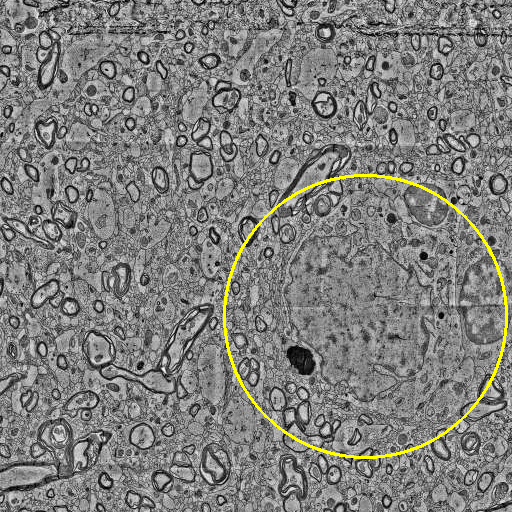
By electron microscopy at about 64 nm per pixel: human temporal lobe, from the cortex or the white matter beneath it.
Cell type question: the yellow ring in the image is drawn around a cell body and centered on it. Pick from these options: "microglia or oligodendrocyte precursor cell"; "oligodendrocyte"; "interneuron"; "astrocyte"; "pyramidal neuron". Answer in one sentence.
The ringed cell at the center is an interneuron.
